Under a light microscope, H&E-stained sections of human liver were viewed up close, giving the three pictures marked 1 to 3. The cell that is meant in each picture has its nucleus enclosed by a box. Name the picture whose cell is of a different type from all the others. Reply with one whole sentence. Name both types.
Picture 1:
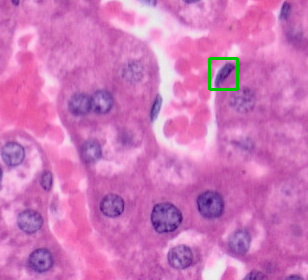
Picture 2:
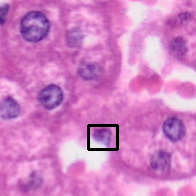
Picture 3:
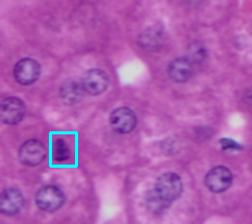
All pictures except 1 show “fibroblasts or stellate cells”; picture 1 shows an endothelial cell.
